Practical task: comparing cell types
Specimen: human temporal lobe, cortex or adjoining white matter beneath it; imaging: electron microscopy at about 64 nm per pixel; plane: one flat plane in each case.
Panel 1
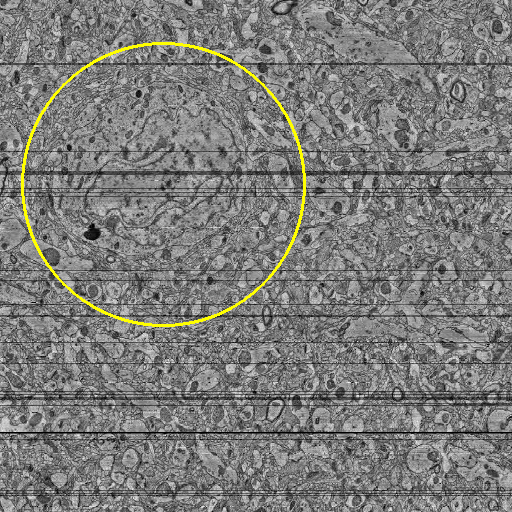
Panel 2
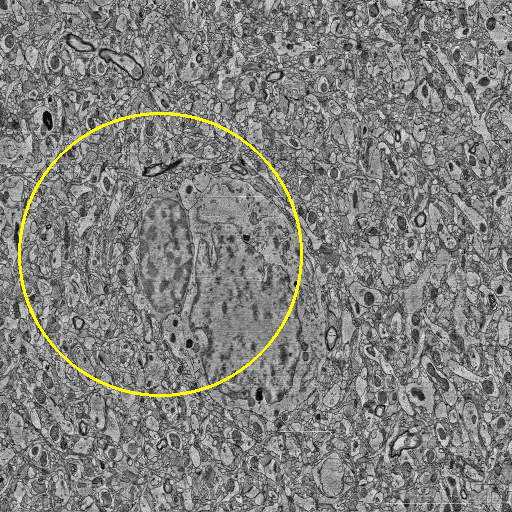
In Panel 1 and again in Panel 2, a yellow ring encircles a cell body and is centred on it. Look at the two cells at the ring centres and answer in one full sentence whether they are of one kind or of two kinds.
The two cells sitting at the ring centres of Panels 1 and 2 are of two kinds.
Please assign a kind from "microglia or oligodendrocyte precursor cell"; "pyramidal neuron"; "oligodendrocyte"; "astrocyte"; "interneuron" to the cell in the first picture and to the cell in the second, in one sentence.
In the first picture we have an interneuron, and in the second, an oligodendrocyte.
